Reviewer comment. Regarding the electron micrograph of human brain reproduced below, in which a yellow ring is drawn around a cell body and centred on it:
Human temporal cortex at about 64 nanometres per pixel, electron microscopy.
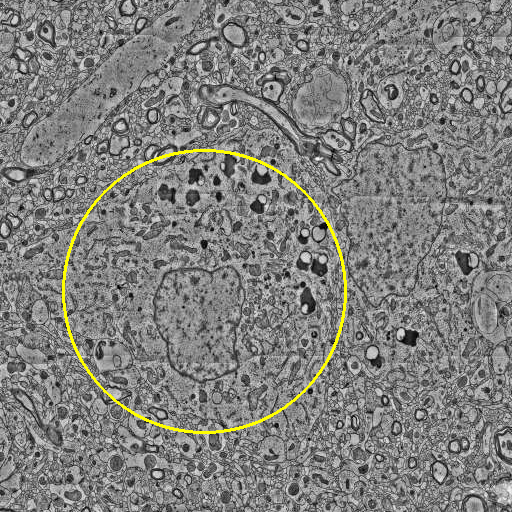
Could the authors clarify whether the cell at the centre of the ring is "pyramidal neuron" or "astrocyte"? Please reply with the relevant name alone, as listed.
pyramidal neuron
